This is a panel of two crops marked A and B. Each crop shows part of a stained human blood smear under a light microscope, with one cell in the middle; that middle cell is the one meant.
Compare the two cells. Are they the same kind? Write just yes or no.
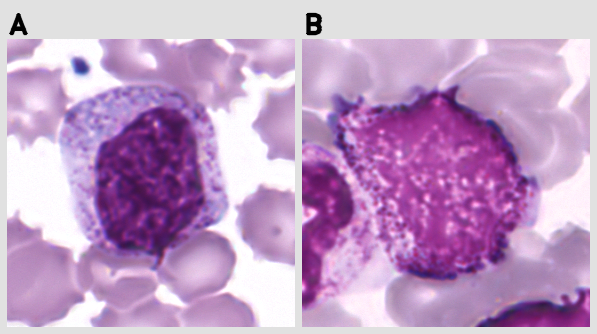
yes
